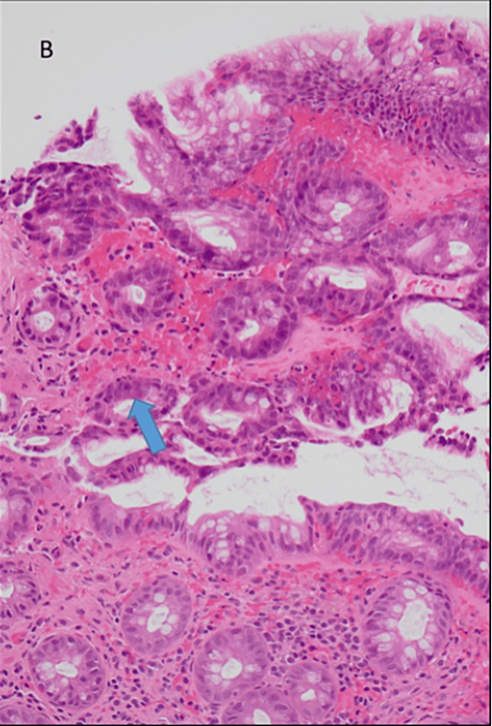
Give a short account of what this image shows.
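This is colonic mucosa with crypts cut in cross section, lined by columnar epithelium with goblet cells and dark, elongated basal nuclei. The lamina propria between the crypts in the upper part is filled with bright red extravasated blood. The surface epithelium at the top is partly detached and frayed.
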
